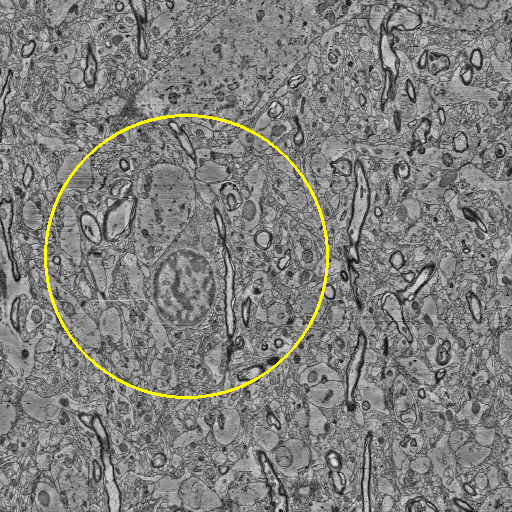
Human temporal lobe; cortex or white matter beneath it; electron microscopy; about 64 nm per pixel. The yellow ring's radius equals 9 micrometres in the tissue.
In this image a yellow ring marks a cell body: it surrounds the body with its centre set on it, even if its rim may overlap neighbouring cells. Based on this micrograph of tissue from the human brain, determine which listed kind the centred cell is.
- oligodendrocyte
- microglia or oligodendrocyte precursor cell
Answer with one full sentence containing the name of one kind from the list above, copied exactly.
It is an oligodendrocyte whose body the yellow ring encloses at its centre.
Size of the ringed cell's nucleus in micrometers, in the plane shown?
The nucleus appears roughly 5 by 4 micrometres in this plane.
